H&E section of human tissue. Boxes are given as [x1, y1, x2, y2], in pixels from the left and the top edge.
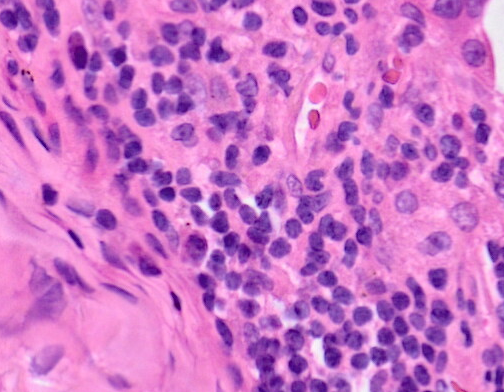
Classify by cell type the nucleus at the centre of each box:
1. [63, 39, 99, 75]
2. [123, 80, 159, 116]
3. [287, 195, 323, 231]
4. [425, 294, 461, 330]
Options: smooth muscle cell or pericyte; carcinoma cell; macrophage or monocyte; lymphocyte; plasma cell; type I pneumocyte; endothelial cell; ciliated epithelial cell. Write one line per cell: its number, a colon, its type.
1: plasma cell
2: lymphocyte
3: lymphocyte
4: lymphocyte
